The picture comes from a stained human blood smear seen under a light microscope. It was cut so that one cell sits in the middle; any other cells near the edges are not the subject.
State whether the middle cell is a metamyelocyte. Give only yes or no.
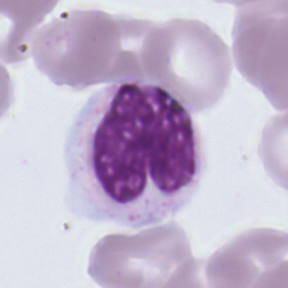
no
